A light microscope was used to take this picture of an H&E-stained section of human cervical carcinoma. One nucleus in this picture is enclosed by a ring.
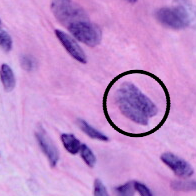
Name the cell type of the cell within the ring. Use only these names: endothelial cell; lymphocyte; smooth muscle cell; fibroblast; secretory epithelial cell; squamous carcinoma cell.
fibroblast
